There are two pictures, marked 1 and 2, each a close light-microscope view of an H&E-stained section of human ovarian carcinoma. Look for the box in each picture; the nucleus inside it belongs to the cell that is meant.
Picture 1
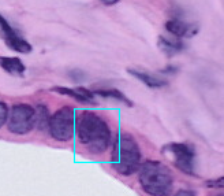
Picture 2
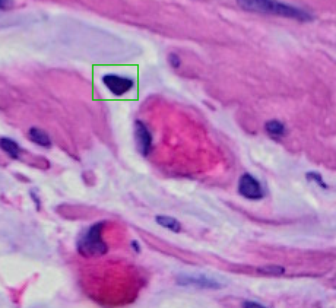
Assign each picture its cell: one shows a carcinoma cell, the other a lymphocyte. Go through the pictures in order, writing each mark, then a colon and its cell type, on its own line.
1: carcinoma cell
2: lymphocyte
